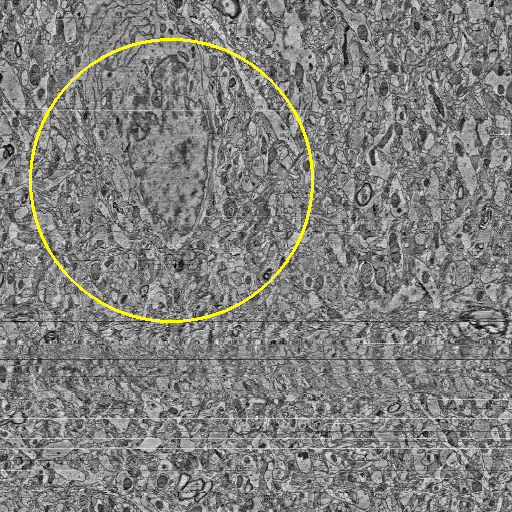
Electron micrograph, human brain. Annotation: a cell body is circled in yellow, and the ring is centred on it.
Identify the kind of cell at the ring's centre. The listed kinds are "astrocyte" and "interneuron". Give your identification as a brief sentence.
The circled cell body is that of an interneuron.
